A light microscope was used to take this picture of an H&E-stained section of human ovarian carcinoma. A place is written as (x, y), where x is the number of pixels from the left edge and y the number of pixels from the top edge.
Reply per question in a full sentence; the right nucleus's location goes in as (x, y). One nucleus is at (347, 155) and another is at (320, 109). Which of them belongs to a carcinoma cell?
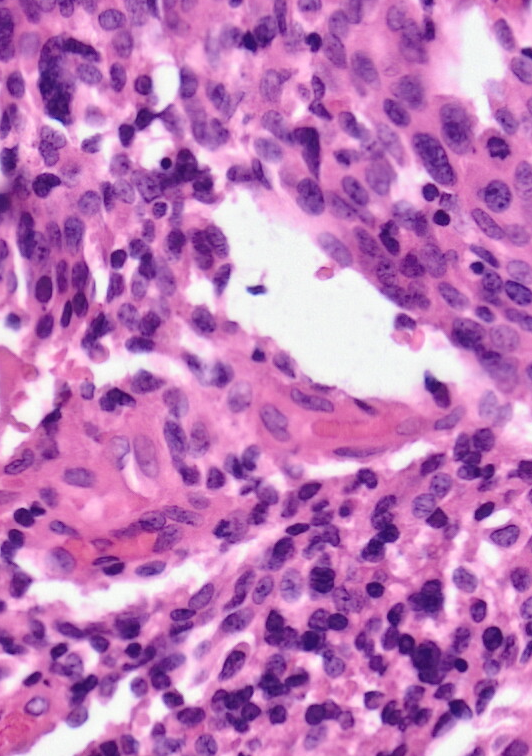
The nucleus of the pair that lies within a carcinoma cell is at (320, 109).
